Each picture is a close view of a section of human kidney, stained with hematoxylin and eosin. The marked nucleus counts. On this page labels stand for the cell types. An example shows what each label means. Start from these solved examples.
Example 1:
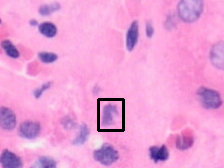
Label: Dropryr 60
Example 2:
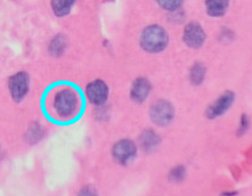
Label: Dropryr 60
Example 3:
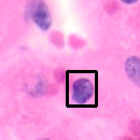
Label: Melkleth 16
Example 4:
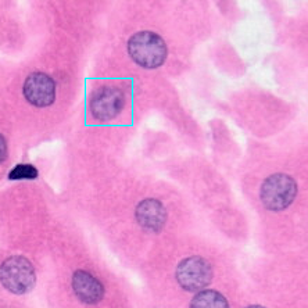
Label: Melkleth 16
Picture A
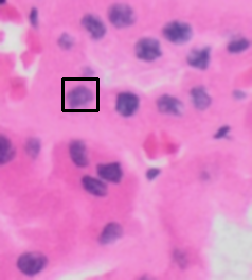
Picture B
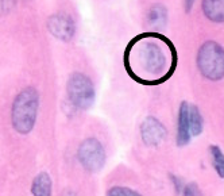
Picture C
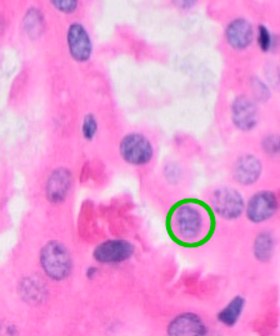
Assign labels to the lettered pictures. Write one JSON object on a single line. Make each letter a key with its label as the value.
{"A": "Dropryr 60", "B": "Dropryr 60", "C": "Dropryr 60"}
